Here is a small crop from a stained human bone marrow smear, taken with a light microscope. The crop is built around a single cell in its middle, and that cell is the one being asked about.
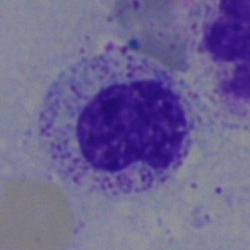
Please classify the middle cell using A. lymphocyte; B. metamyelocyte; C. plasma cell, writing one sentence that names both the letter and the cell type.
Here the central cell is a metamyelocyte, and option B is correct.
